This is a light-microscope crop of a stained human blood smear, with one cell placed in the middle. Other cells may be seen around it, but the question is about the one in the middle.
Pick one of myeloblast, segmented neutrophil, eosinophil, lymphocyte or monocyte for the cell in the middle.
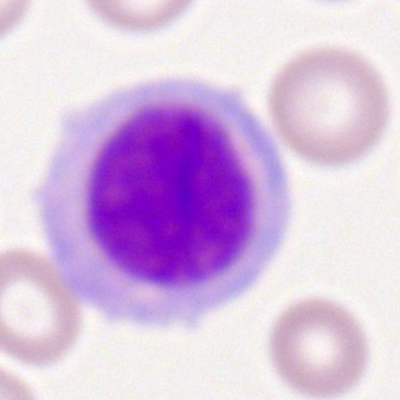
monocyte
